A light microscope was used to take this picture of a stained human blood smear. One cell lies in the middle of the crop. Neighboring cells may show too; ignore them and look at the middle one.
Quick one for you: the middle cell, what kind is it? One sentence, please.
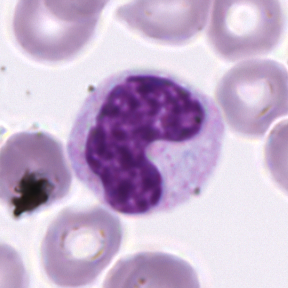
At the center of the crop sits a band neutrophil.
